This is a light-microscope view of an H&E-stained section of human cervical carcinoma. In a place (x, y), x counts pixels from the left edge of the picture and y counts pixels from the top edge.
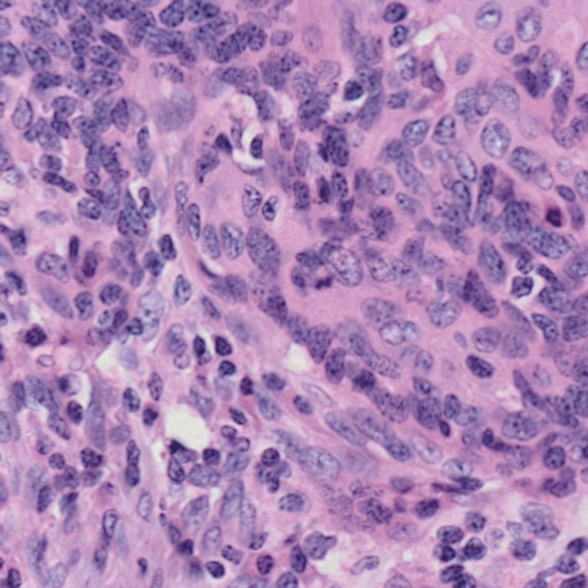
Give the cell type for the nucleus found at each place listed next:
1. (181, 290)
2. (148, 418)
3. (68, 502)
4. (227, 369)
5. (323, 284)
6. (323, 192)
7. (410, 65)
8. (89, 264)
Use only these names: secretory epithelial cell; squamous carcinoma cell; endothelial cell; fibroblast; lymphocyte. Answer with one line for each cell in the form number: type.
1: lymphocyte
2: lymphocyte
3: lymphocyte
4: lymphocyte
5: squamous carcinoma cell
6: squamous carcinoma cell
7: squamous carcinoma cell
8: squamous carcinoma cell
